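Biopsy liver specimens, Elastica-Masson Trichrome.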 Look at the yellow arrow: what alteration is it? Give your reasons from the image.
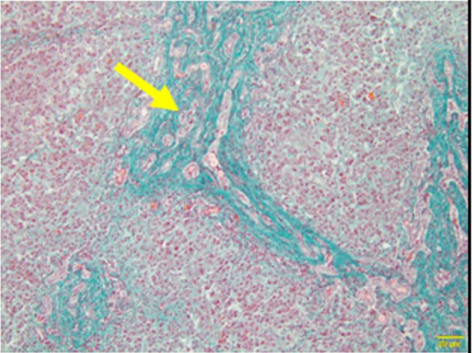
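The arrow points to a broad band of blue-green stained fibrous tissue. The band cuts through the red-brown hepatocyte parenchyma and contains vessels.
Fibrotic area.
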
